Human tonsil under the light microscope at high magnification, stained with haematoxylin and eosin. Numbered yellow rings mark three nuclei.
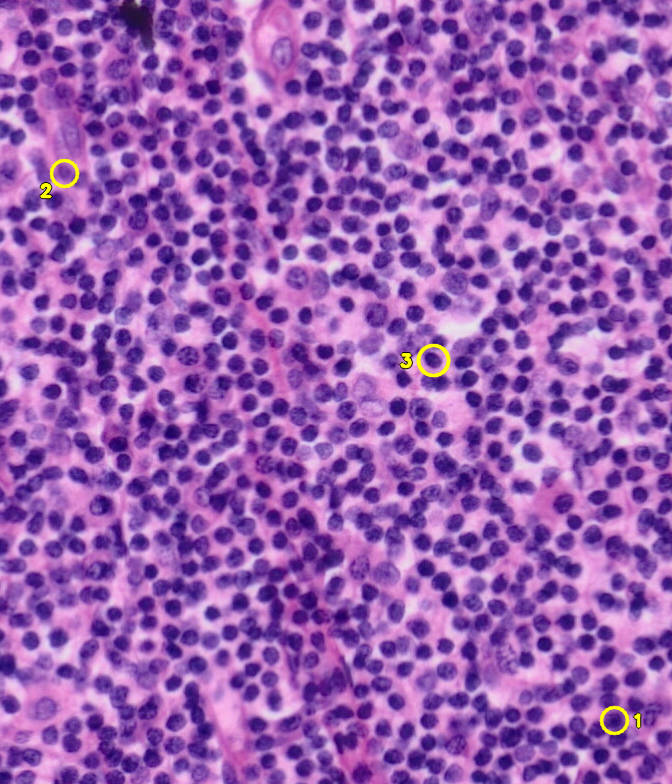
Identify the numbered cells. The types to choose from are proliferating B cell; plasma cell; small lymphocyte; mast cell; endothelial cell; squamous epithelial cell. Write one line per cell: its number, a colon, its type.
1: small lymphocyte
2: endothelial cell
3: small lymphocyte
